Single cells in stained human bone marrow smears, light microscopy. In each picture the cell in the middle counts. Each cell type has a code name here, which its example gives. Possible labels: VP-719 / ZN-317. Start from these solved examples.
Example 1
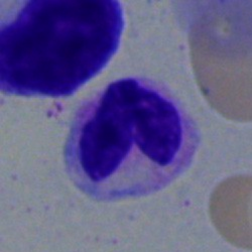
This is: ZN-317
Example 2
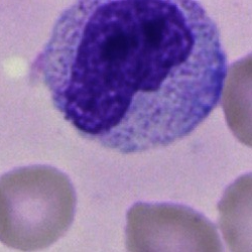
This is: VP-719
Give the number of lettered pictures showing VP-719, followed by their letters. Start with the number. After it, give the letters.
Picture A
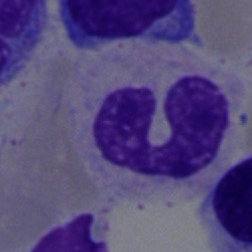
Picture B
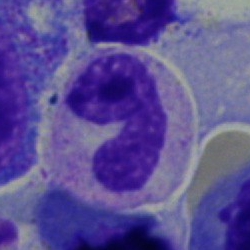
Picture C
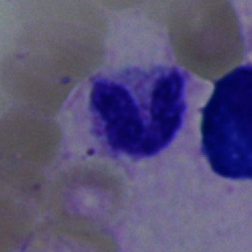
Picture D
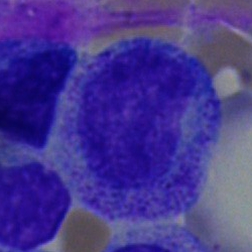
Count: 1 (D)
